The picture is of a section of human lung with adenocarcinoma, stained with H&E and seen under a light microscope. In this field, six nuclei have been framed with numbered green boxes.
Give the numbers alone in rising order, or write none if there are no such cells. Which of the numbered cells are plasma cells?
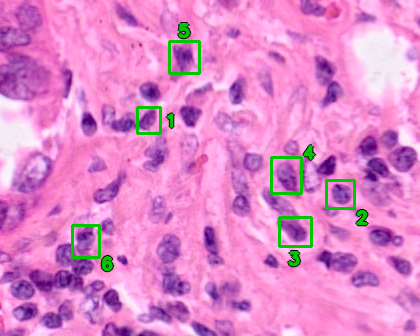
3, 4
